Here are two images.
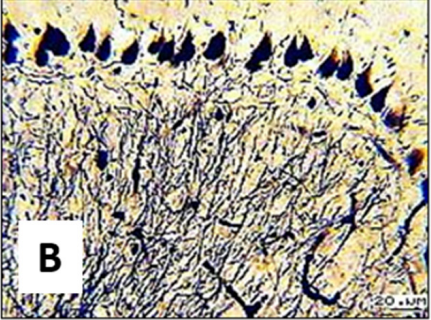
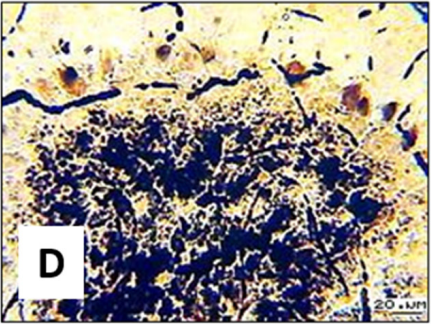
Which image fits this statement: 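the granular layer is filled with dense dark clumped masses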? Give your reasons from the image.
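The second image. Second image: the layer below the large cell bodies holds dense, dark irregular clumps. First image: the same layer shows a meshwork of thin dark fibers without large clumps.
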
